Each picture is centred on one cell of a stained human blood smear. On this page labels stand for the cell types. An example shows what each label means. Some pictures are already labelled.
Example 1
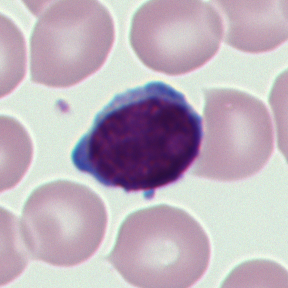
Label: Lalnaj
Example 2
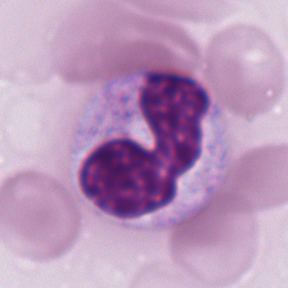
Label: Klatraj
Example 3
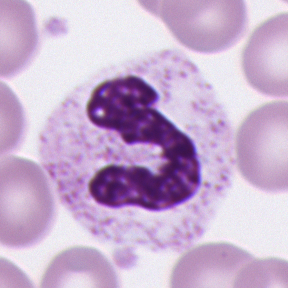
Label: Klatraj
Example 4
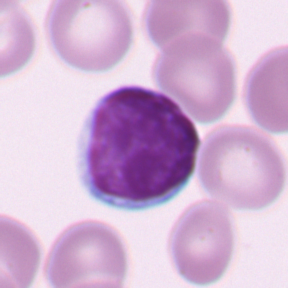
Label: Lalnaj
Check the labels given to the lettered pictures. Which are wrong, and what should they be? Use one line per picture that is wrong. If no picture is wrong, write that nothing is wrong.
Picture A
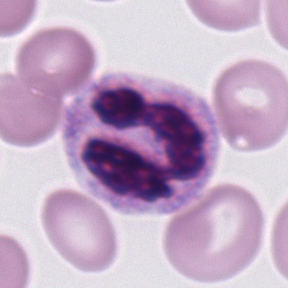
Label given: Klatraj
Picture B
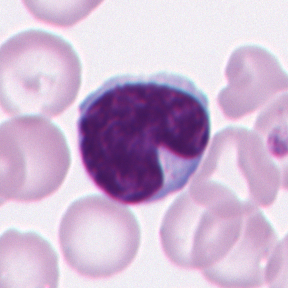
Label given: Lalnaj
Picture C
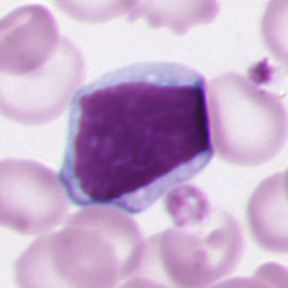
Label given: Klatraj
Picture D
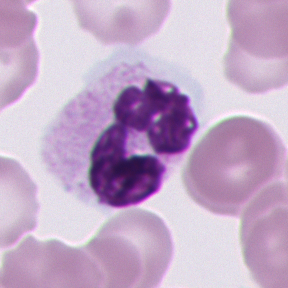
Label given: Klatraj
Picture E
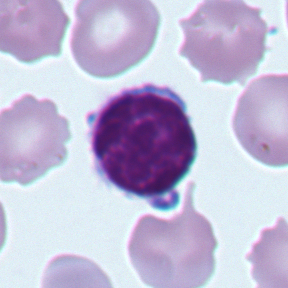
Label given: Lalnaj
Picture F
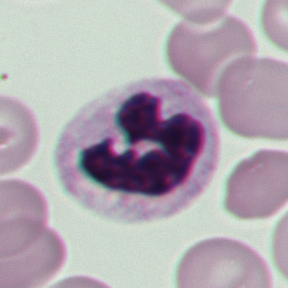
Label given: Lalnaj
C should be Lalnaj, not Klatraj
F should be Klatraj, not Lalnaj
